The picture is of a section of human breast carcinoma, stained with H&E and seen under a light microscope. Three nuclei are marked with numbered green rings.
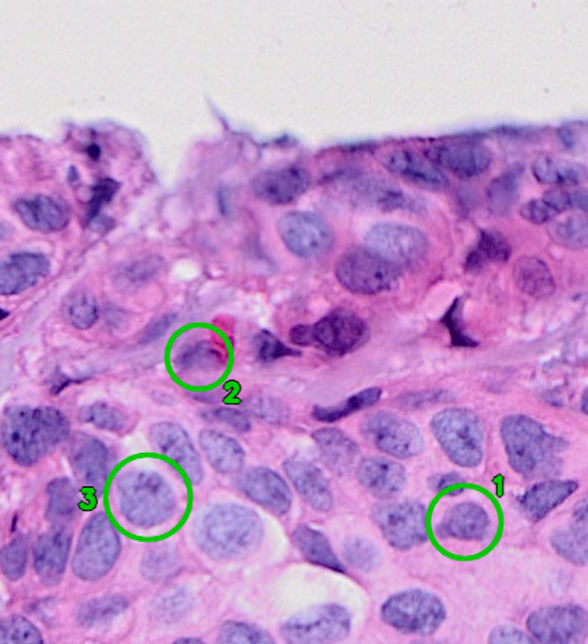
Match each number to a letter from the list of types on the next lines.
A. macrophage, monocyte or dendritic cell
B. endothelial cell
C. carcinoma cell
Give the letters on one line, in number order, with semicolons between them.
C; B; C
